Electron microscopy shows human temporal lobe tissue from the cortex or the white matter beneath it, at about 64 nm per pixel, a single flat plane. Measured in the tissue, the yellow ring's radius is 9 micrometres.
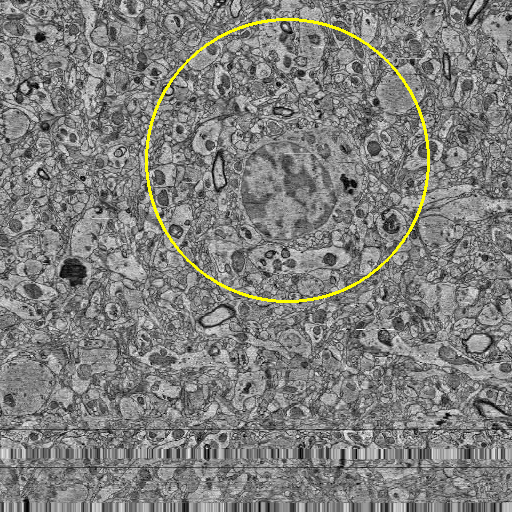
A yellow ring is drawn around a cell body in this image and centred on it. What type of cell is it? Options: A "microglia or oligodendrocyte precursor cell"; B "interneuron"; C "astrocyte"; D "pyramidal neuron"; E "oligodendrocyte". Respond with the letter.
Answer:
E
